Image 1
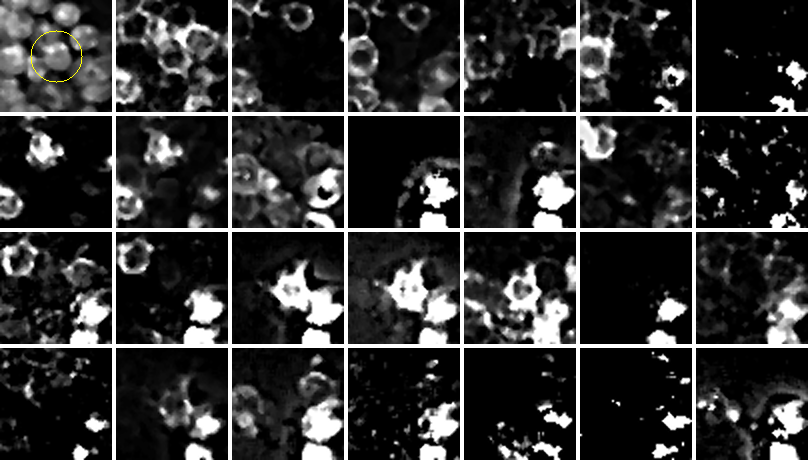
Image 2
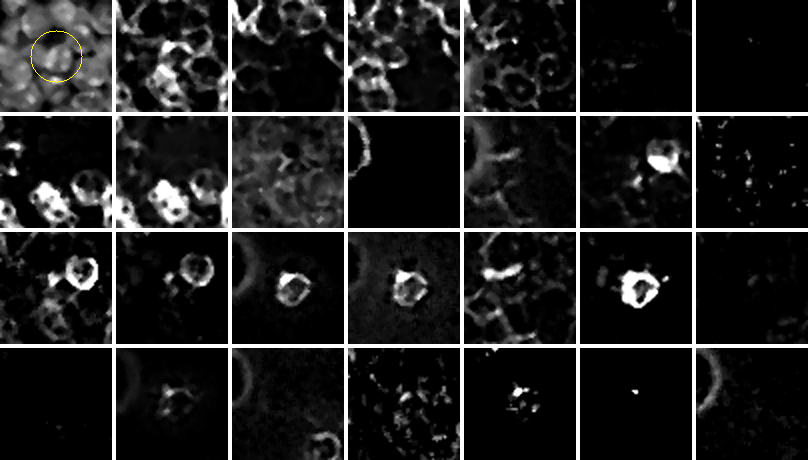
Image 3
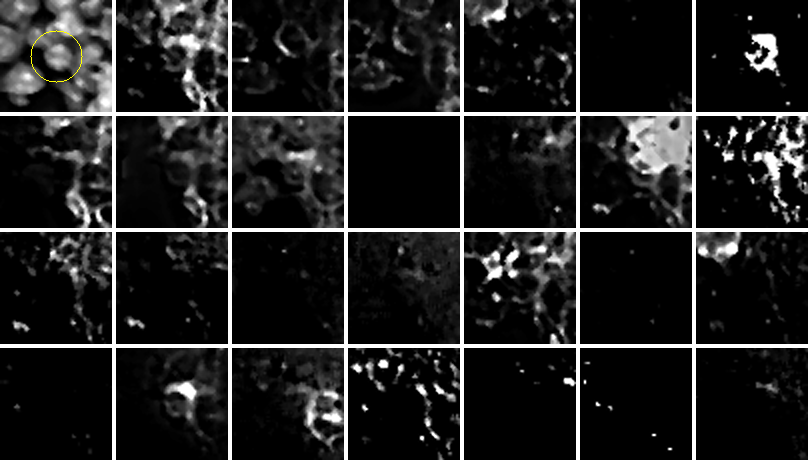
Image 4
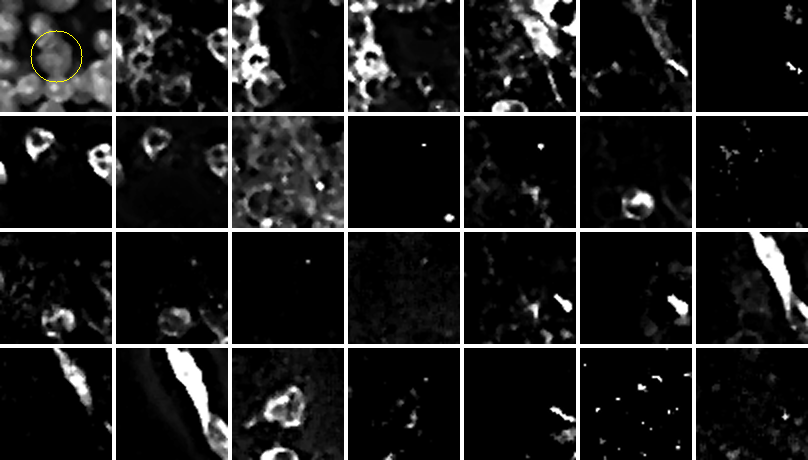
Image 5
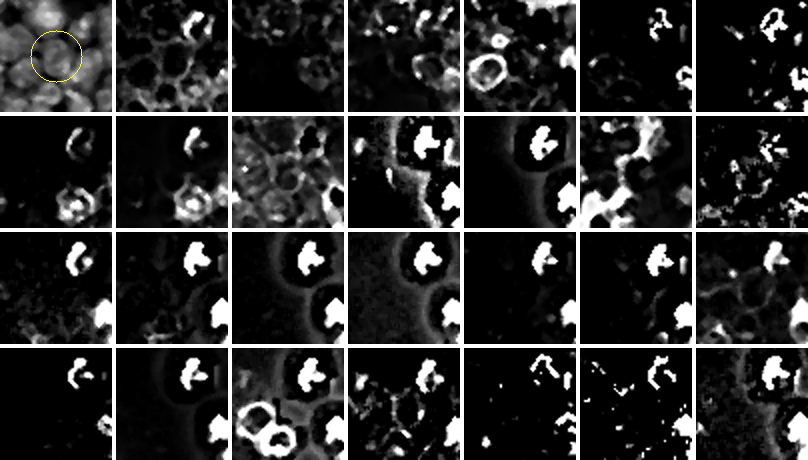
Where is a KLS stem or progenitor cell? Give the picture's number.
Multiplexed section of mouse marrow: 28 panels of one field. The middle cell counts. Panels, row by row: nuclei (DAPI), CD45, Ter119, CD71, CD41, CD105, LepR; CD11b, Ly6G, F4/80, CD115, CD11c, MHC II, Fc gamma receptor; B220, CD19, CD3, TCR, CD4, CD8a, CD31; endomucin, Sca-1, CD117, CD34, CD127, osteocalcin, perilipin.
4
